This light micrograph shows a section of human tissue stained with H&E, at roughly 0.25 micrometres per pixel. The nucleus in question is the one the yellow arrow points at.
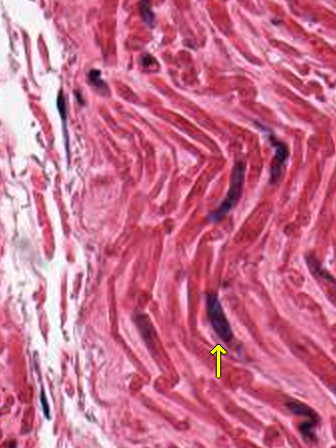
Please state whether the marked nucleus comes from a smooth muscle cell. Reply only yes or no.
yes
